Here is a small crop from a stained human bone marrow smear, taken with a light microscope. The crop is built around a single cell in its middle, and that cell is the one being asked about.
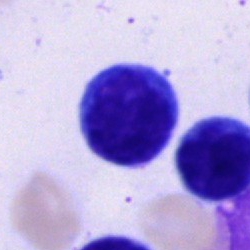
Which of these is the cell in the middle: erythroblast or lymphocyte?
lymphocyte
